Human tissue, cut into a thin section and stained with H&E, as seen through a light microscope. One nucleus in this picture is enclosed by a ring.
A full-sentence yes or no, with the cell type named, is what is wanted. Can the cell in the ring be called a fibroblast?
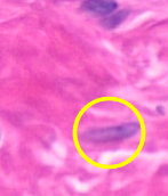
Yes, regarding cell type, the cell in the ring is a fibroblast.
